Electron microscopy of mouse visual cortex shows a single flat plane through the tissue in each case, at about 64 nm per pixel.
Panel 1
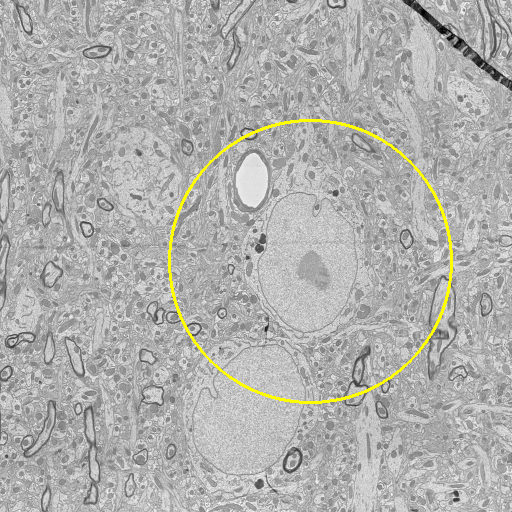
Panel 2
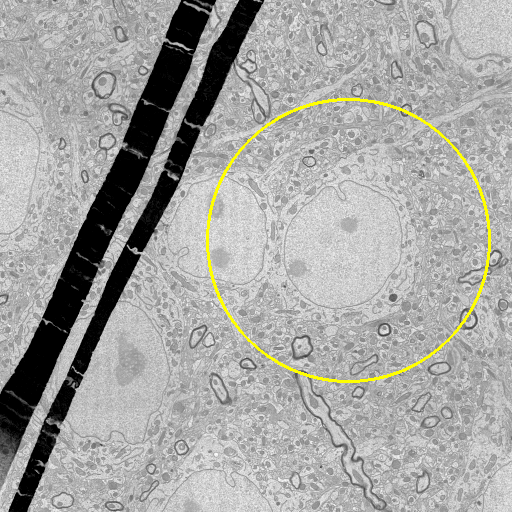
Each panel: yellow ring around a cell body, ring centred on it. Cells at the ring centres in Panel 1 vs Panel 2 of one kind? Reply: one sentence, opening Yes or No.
Yes, Panel 1 and Panel 2 have cells of one kind at the ring centres.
